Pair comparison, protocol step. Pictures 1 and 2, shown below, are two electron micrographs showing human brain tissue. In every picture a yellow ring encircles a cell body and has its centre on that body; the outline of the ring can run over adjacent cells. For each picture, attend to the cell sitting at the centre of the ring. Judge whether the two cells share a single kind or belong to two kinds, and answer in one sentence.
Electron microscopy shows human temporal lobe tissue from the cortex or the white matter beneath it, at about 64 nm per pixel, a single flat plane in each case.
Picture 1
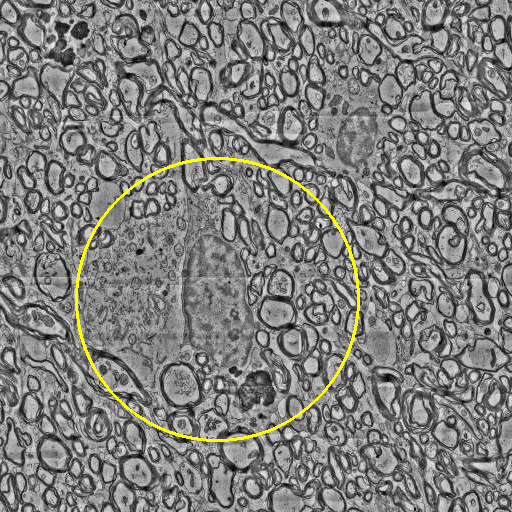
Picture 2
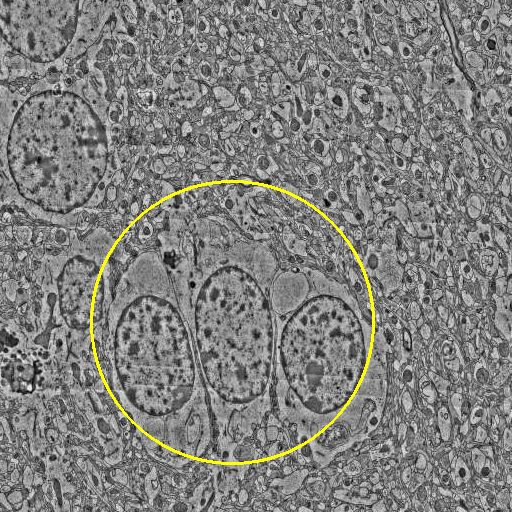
The two cells at the ring centres in Picture 1 and Picture 2 belong to two kinds.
